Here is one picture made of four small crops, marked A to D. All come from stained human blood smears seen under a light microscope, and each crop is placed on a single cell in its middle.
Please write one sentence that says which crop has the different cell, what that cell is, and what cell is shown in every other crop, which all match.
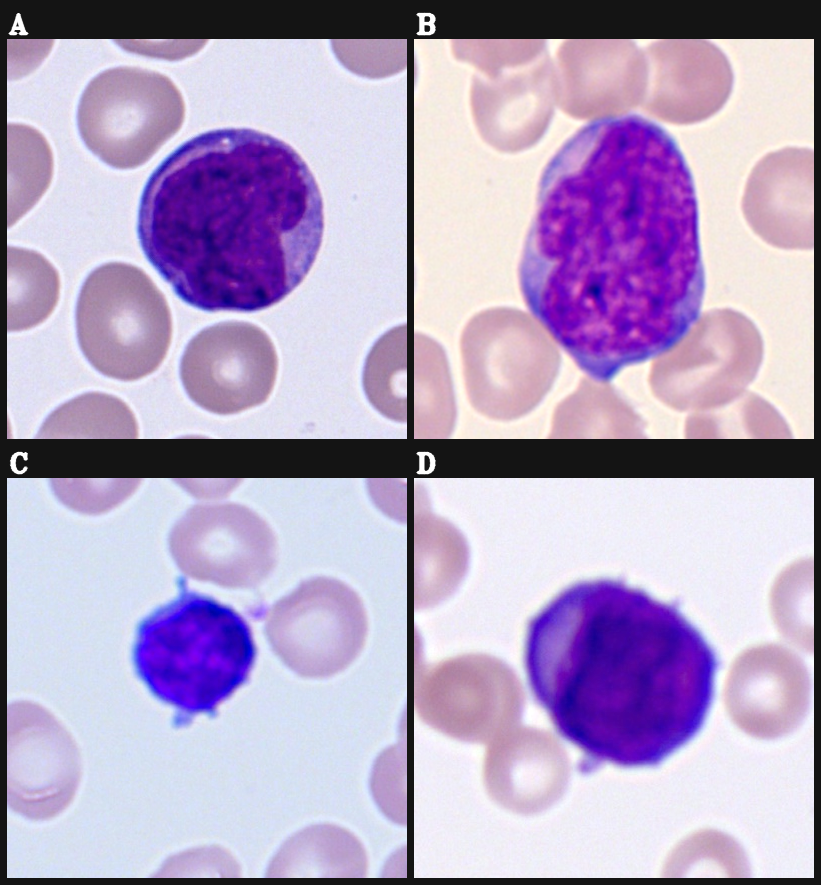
Of all the crops, only crop C shows a lymphocyte; the others show myeloblasts.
